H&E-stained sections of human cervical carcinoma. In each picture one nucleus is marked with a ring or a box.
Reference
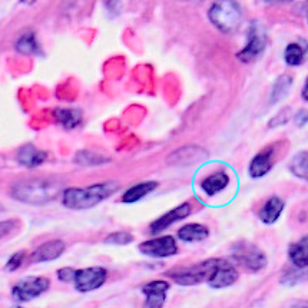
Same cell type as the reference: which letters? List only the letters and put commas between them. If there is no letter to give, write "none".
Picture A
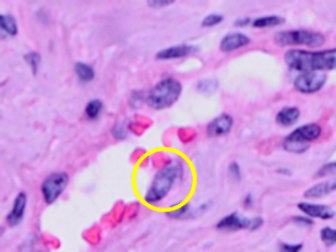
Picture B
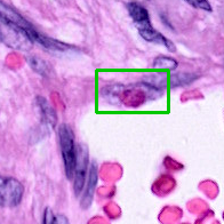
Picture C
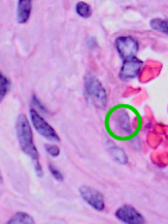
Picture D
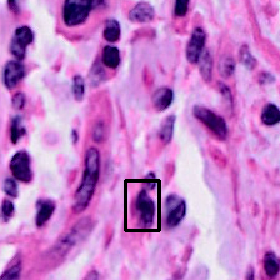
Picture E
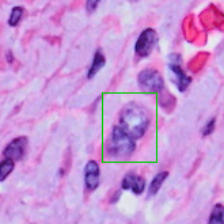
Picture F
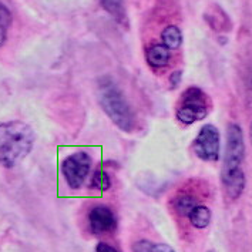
D, F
